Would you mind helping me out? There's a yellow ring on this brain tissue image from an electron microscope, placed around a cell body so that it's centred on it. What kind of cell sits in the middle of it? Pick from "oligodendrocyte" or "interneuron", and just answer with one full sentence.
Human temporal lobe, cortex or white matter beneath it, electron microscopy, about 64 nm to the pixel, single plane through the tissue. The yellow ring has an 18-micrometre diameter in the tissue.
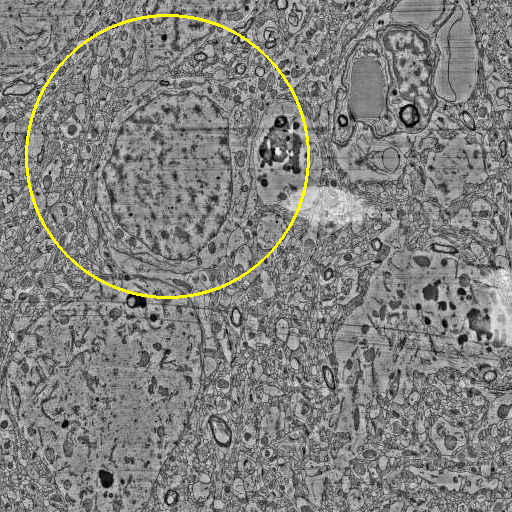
What sits in the middle of that yellow ring is an interneuron, from your choices.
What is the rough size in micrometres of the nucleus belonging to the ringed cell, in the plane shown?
Approximately 11 x 8 micrometres in this plane.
